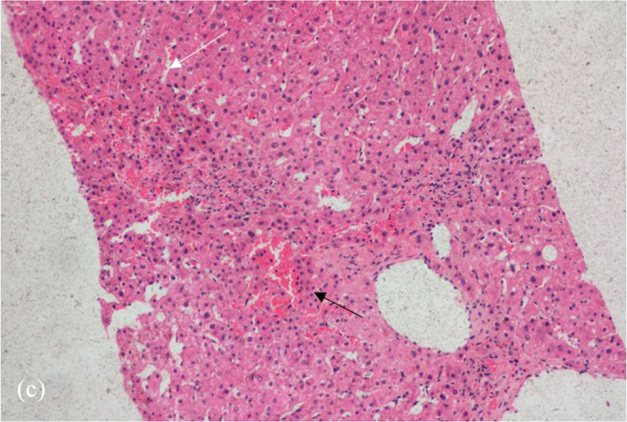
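A core of liver tissue shows plates of pink polygonal hepatocytes with round central nuclei, interrupted by open vascular spaces. In the middle, sinusoids are distended and packed with red blood cells, and nearby there are areas crowded with small dark nuclei of infiltrating inflammatory cells. These features fit sinusoidal congestion with inflammatory cell infiltration.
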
